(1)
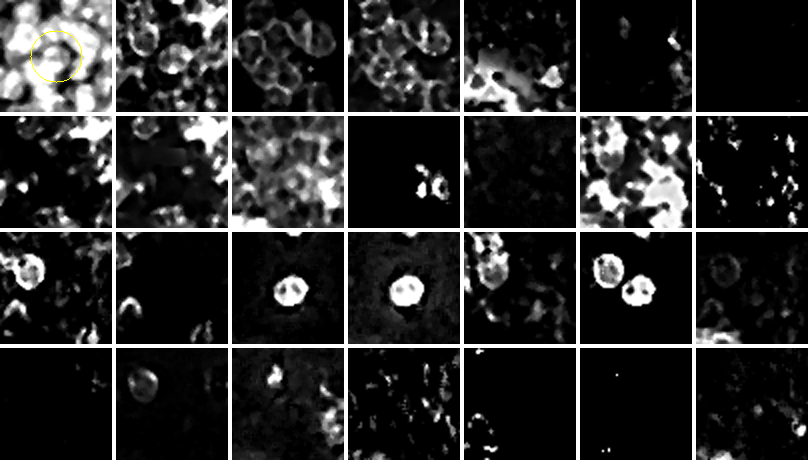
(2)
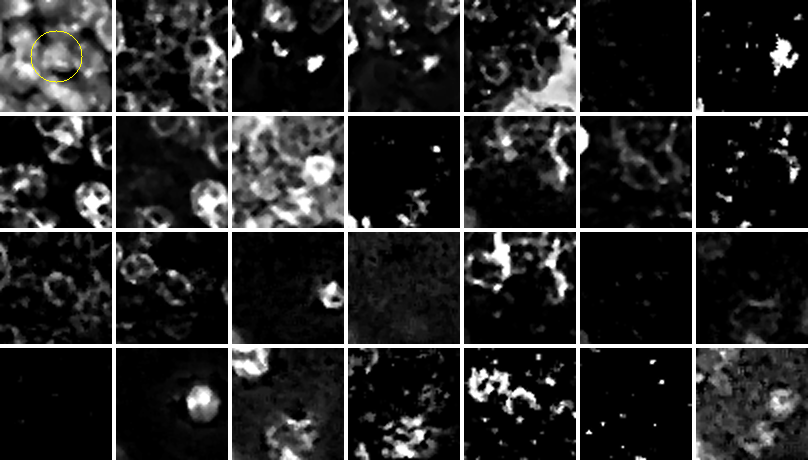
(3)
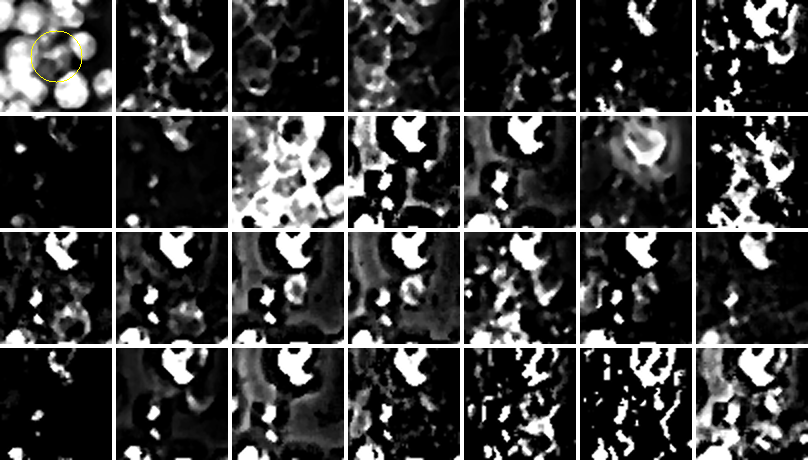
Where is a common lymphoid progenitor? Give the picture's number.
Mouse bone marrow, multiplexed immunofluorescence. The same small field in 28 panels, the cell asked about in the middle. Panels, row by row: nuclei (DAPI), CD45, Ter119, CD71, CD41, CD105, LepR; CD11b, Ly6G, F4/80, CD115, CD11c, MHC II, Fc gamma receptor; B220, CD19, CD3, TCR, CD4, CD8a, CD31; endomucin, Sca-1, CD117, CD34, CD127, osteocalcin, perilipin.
2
